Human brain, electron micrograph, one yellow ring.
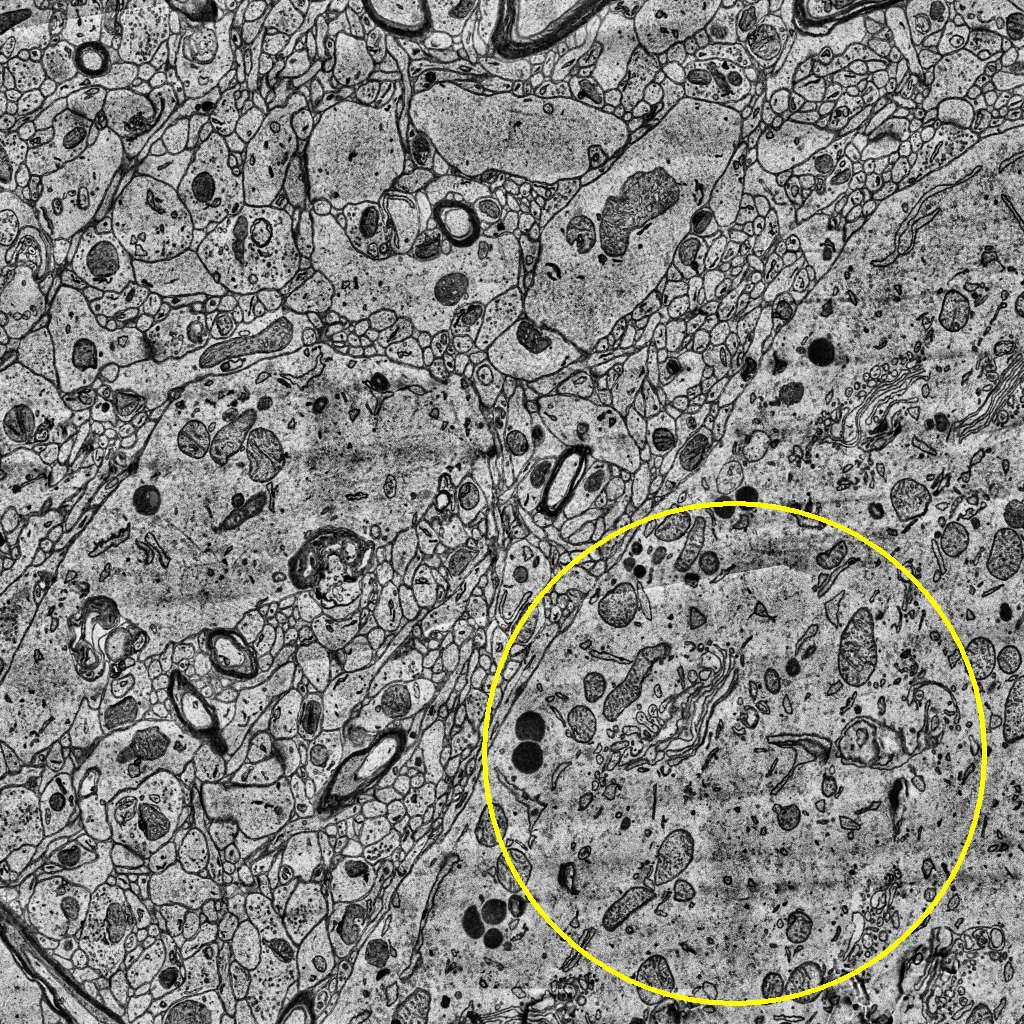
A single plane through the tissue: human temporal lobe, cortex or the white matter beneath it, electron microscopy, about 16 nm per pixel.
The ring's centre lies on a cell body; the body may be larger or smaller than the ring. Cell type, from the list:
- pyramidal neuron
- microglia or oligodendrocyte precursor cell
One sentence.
The yellow ring's centre lies on a pyramidal neuron.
